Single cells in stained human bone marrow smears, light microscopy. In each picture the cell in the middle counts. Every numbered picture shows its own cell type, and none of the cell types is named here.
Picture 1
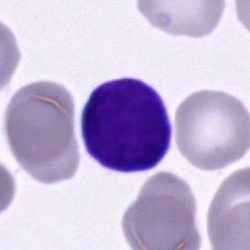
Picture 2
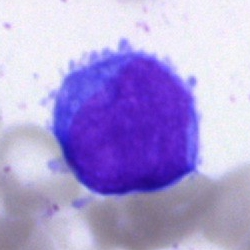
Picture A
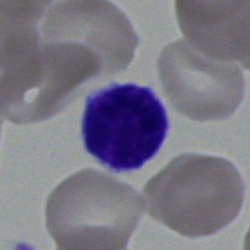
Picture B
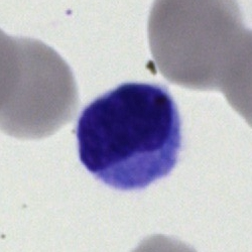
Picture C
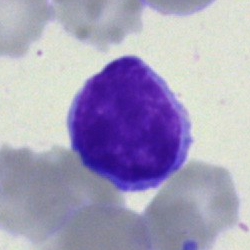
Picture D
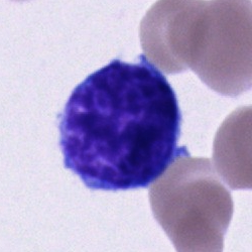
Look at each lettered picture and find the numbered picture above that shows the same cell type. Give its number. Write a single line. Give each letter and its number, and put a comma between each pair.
A 1, B 1, C 1, D 2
